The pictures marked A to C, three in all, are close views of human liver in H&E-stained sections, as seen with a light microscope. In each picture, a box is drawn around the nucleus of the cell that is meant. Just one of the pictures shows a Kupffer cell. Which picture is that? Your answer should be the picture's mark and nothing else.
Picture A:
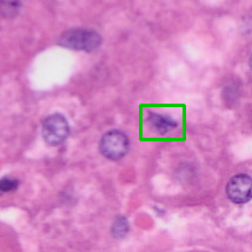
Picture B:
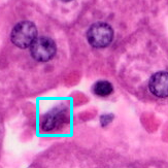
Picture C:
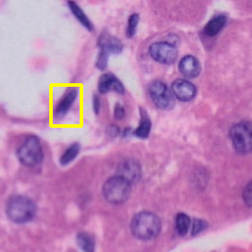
B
